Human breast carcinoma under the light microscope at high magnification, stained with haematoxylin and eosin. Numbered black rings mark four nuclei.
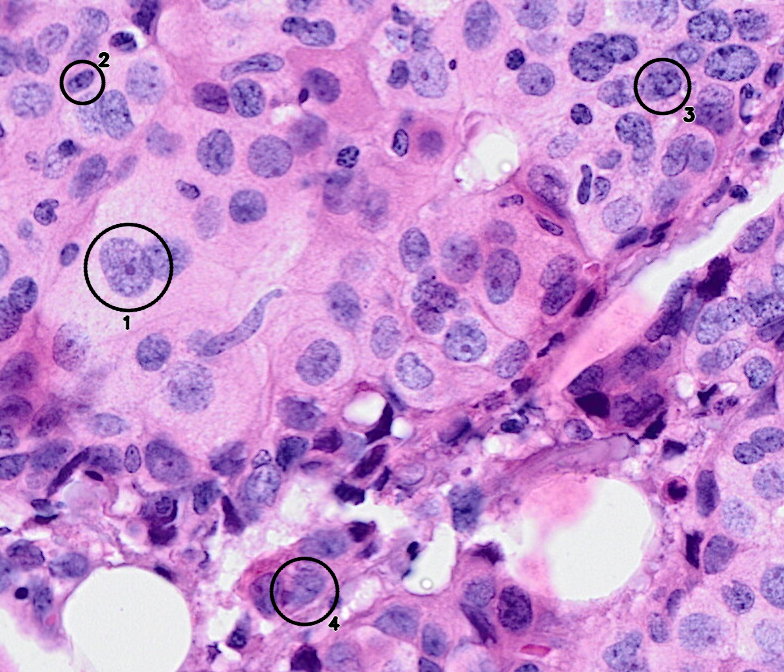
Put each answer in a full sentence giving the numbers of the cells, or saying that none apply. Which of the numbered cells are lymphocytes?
Of the numbered nuclei, only the one labelled 2 belongs to a lymphocyte.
